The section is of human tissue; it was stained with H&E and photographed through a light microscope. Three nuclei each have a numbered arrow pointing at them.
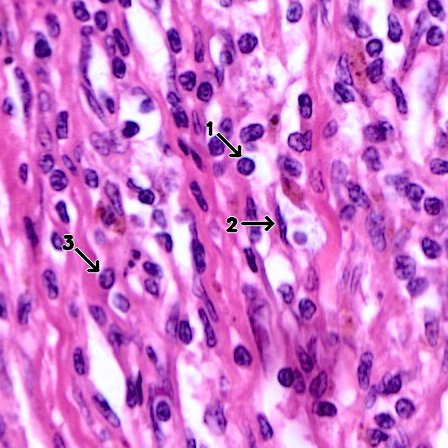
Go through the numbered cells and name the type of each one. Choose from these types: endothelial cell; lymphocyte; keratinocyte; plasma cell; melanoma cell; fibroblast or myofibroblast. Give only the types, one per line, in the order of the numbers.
lymphocyte
fibroblast or myofibroblast
plasma cell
